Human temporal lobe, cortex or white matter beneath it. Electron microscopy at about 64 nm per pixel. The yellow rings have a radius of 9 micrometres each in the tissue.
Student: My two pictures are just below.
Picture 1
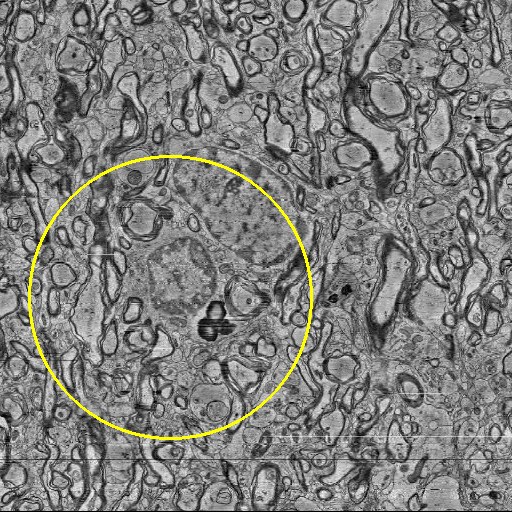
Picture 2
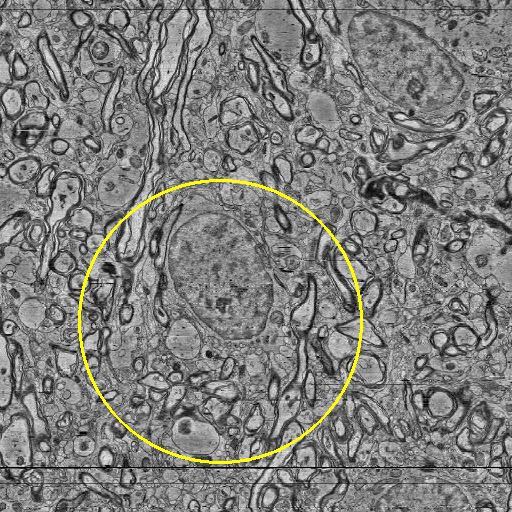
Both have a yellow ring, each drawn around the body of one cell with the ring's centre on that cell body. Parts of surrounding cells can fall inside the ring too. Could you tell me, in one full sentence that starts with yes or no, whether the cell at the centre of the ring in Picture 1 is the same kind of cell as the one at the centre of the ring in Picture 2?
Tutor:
Yes, the two cells are of the same kind.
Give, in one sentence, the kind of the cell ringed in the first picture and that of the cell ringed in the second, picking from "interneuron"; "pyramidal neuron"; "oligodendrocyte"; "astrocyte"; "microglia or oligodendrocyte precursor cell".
The ring centre holds an oligodendrocyte in each of the two pictures.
